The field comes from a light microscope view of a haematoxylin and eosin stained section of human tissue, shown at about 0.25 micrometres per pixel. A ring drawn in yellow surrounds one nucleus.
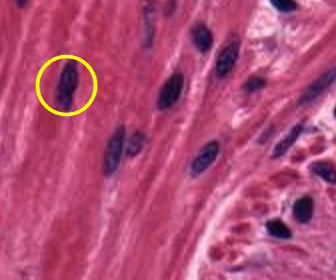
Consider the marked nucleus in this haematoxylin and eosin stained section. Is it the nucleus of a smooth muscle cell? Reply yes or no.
yes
